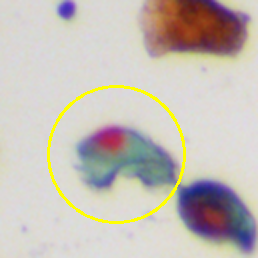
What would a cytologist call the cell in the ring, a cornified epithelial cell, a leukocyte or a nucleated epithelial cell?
A cytologist would call it a nucleated epithelial cell.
